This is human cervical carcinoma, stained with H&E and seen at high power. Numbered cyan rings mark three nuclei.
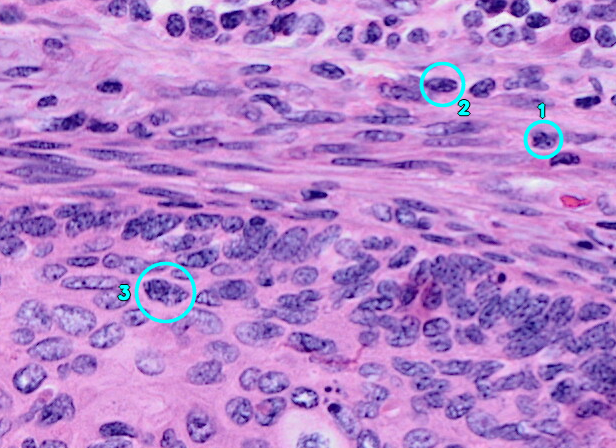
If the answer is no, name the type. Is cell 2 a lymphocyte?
Yes.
